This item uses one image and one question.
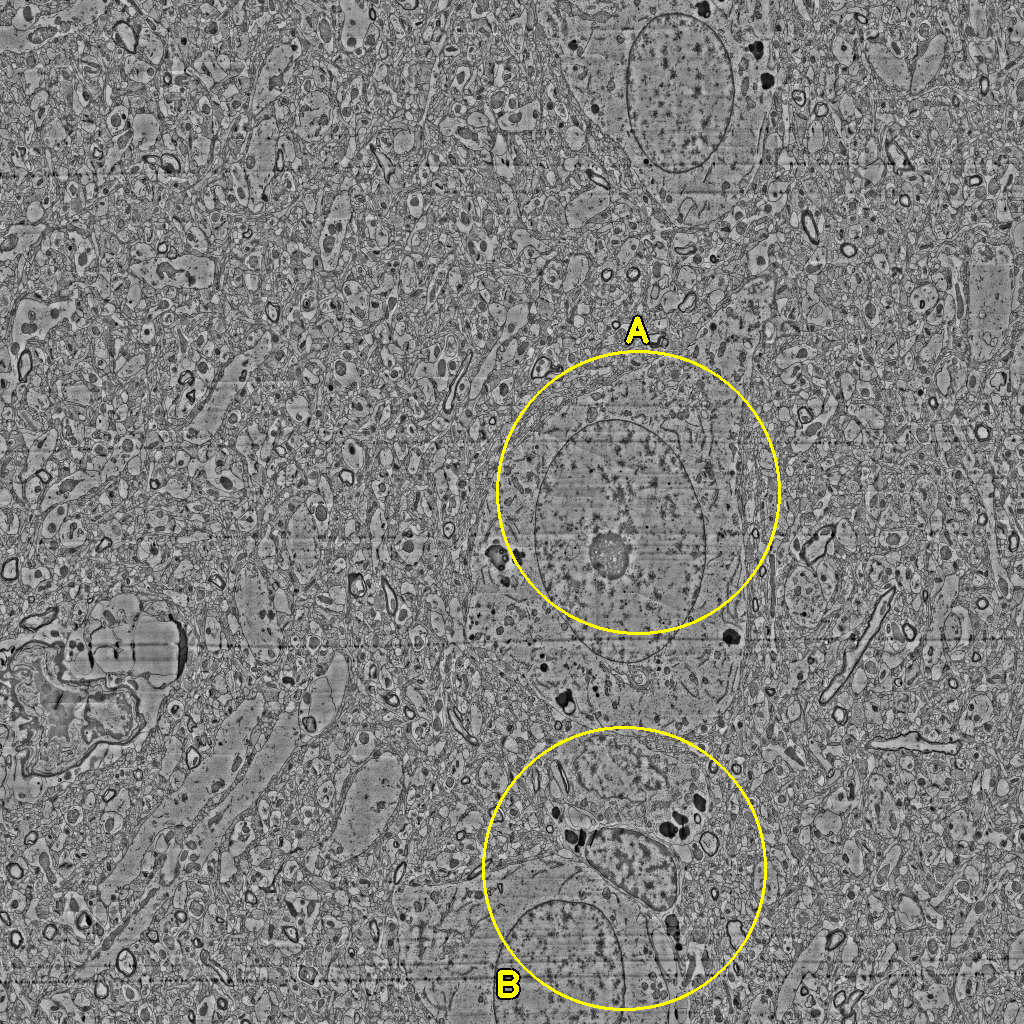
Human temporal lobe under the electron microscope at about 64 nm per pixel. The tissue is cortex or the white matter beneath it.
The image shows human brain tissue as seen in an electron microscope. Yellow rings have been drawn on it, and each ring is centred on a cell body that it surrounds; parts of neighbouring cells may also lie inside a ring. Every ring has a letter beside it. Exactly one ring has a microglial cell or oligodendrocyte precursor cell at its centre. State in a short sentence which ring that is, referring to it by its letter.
Ring B has that cell at its centre.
